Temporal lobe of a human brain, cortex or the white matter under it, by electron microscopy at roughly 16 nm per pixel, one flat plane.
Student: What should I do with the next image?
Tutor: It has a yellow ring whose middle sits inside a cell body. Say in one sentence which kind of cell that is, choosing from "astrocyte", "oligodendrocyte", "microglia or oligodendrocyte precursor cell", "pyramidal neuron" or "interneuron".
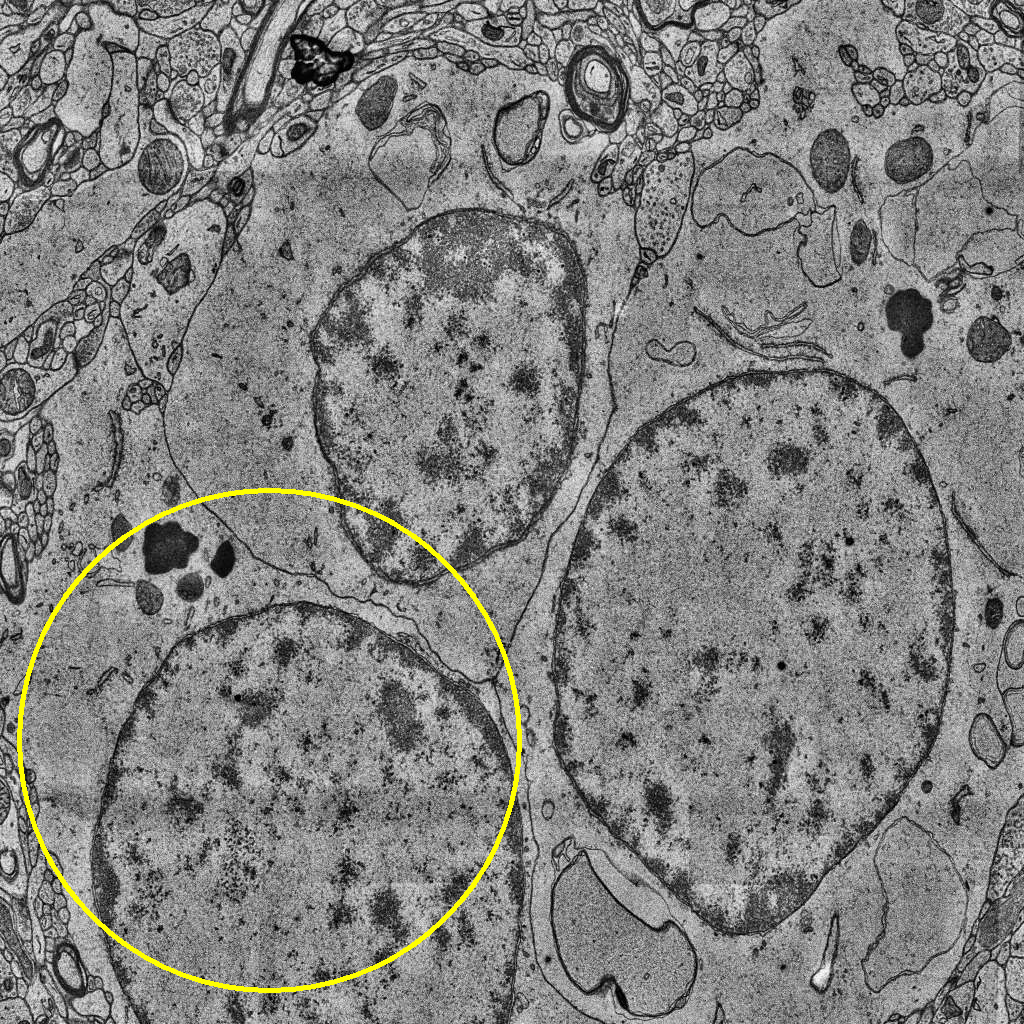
The ring's centre is occupied by an astrocyte.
